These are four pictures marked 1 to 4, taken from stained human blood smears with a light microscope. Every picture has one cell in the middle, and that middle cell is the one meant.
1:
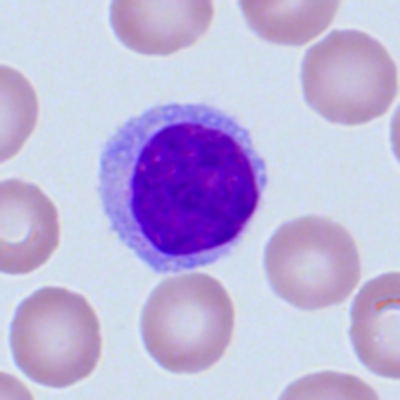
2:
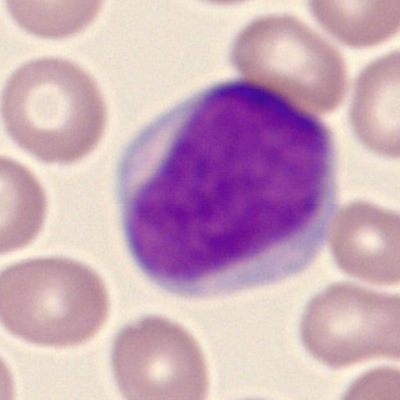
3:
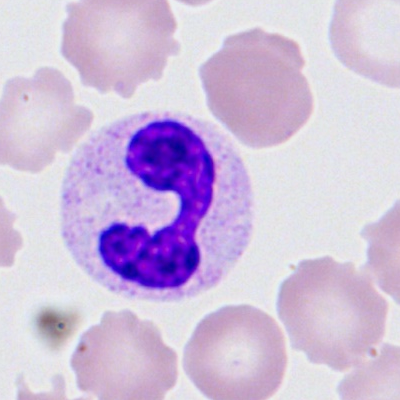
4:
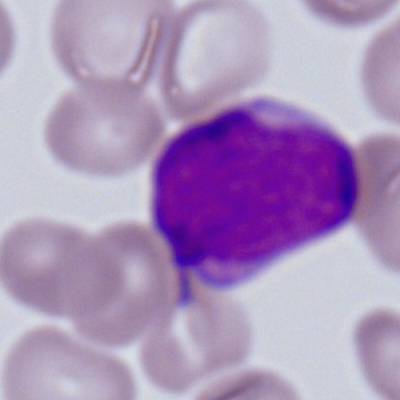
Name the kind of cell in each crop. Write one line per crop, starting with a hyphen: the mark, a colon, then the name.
- 1: lymphocyte
- 2: myeloblast
- 3: segmented neutrophil
- 4: myeloblast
